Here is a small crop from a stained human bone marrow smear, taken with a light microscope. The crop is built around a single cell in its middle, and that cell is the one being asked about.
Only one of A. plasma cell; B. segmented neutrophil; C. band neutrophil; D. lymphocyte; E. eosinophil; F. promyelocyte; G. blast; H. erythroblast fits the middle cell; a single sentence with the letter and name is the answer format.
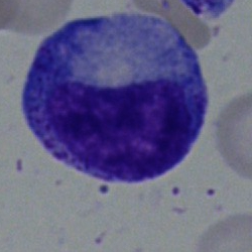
Option F gives the correct identity of the central cell, namely a promyelocyte.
